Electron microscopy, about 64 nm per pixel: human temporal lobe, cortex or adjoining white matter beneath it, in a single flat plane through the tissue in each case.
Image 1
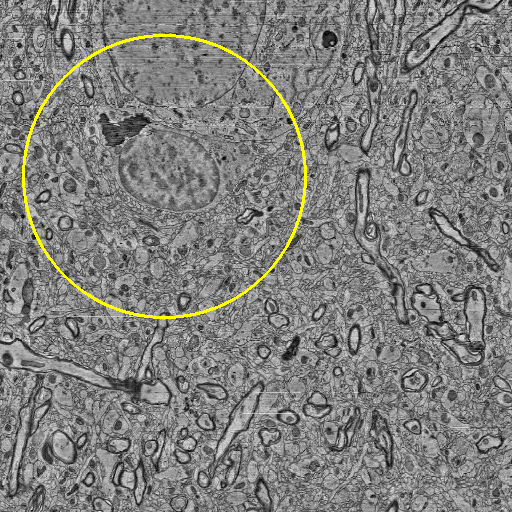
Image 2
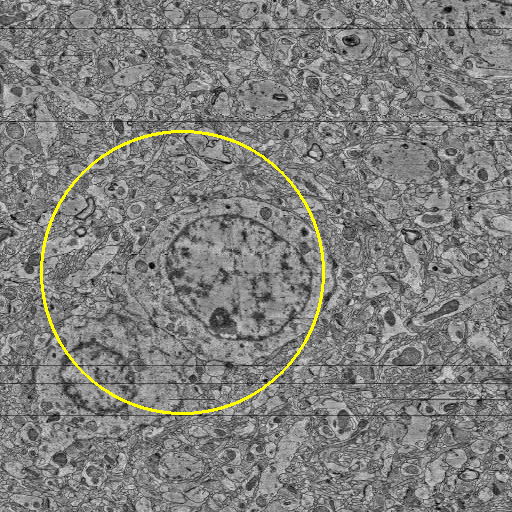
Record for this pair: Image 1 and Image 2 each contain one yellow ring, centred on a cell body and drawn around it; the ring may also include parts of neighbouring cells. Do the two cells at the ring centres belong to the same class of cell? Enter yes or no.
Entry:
no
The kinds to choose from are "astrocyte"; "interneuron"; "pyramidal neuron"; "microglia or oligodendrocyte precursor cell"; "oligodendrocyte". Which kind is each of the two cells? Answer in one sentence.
Of the two, the first cell is an oligodendrocyte and the second cell is a pyramidal neuron.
